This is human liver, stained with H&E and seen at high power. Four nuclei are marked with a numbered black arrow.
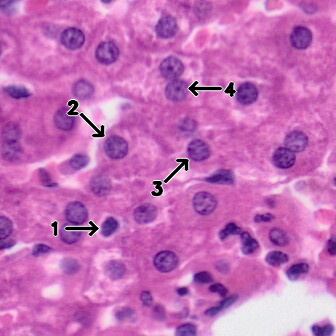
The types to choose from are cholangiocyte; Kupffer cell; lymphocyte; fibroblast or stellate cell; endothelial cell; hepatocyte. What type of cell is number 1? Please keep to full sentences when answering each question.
It is as a lymphocyte that the cell numbered 1 is identified.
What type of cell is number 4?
The nucleus marked 4 is the nucleus of a hepatocyte.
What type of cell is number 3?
The correct label for cell 3 is a hepatocyte.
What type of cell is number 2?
The cell that bears the number 2 is a hepatocyte.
